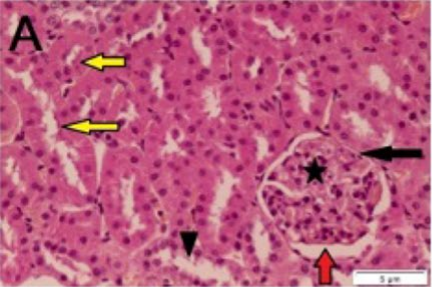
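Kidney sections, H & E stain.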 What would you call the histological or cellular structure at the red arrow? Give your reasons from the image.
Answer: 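The red arrow points to the clear crescent between the nuclear tuft and the outer capsule. So: urinary space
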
